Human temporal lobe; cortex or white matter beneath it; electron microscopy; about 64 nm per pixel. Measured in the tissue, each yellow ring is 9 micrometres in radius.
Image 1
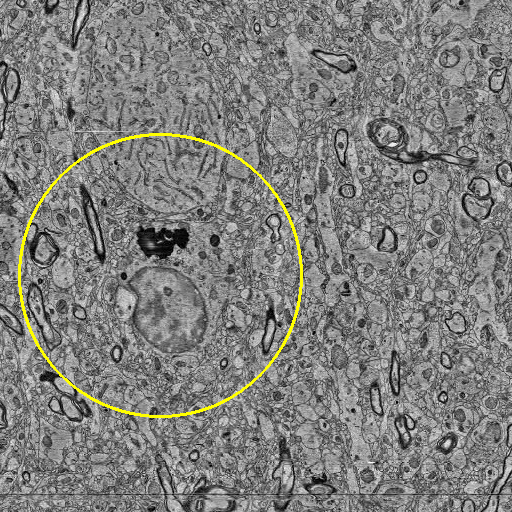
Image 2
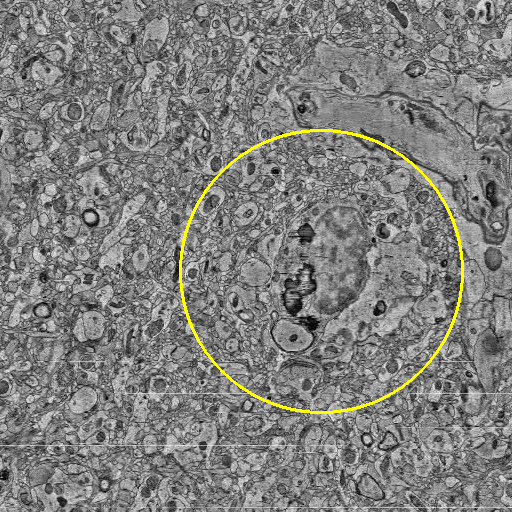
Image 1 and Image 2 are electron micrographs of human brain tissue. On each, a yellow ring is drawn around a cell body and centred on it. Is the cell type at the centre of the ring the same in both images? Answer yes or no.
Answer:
yes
